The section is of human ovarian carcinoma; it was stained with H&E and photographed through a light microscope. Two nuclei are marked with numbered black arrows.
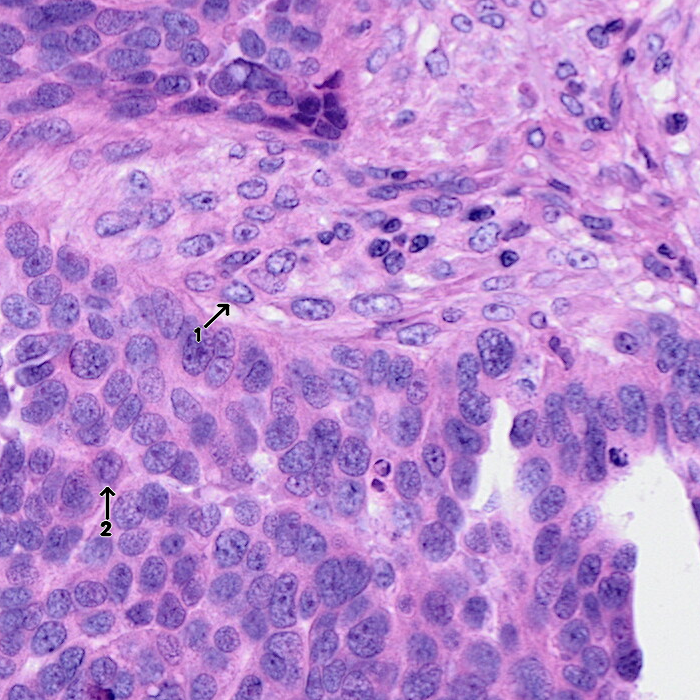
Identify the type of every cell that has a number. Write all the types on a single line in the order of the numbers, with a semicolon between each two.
fibroblast; carcinoma cell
